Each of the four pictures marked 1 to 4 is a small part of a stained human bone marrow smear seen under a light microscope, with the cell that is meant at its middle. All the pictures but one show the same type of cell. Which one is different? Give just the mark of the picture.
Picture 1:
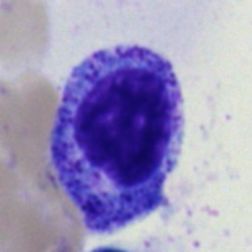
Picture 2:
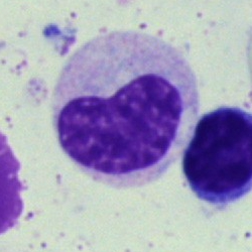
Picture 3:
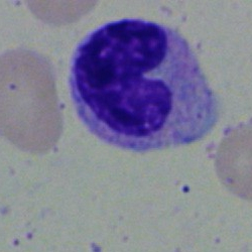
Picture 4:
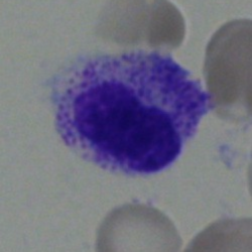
1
